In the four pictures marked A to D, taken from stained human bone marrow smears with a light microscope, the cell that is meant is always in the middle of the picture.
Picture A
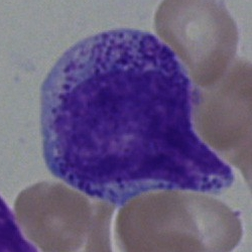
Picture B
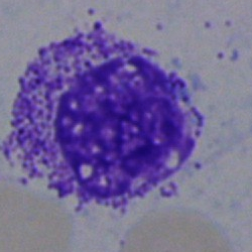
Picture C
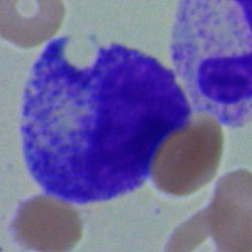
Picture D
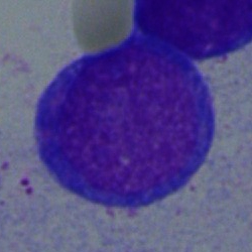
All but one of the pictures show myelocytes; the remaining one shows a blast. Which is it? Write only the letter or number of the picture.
D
